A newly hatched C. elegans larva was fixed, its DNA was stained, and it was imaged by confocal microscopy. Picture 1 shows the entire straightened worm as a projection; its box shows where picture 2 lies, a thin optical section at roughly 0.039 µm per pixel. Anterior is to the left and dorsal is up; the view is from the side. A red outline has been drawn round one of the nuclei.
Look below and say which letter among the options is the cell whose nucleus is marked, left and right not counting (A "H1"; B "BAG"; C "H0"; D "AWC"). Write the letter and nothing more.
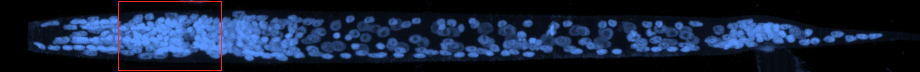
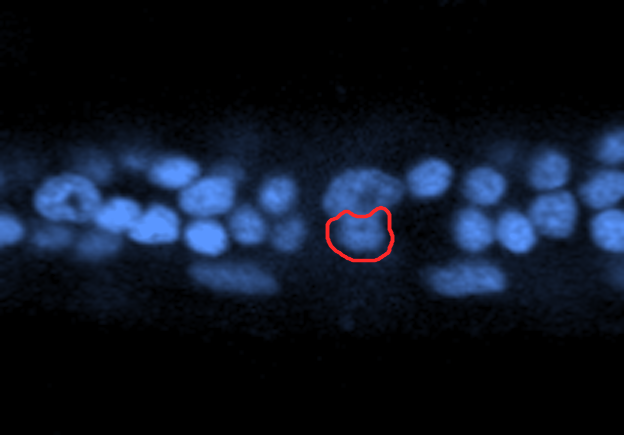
B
